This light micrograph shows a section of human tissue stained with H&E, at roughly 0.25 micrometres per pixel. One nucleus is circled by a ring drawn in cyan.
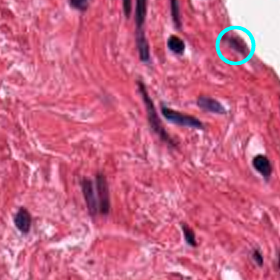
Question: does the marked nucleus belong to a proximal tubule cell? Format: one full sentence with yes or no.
No, the marked nucleus is attributed to a supporting cell, not to a proximal tubule cell.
